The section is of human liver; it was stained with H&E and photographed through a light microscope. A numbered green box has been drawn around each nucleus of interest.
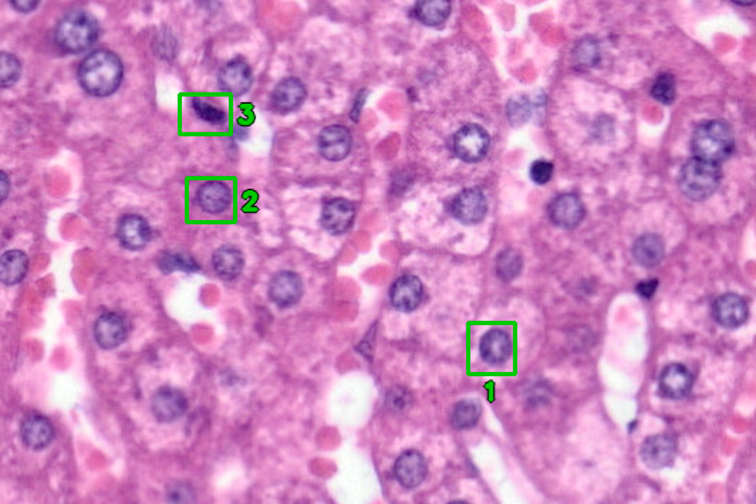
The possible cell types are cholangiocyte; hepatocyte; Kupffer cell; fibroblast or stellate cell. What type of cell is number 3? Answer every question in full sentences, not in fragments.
The cell marked with the number 3 is a fibroblast or stellate cell.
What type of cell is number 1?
The cell tagged with 1 in this tissue section is a hepatocyte.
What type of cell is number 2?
The mark numbered 2 indicates the nucleus of a hepatocyte.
